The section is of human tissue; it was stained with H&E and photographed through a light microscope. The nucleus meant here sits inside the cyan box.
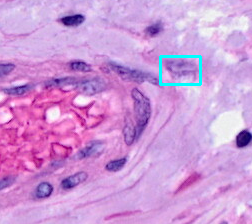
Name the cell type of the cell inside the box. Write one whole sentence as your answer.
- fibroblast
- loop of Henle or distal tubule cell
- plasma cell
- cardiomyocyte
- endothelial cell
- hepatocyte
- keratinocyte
In this tissue sample, the cell inside the box is a fibroblast.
